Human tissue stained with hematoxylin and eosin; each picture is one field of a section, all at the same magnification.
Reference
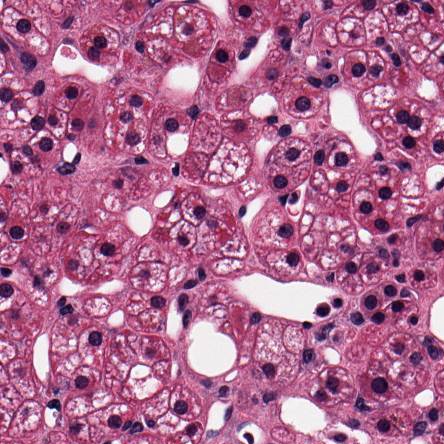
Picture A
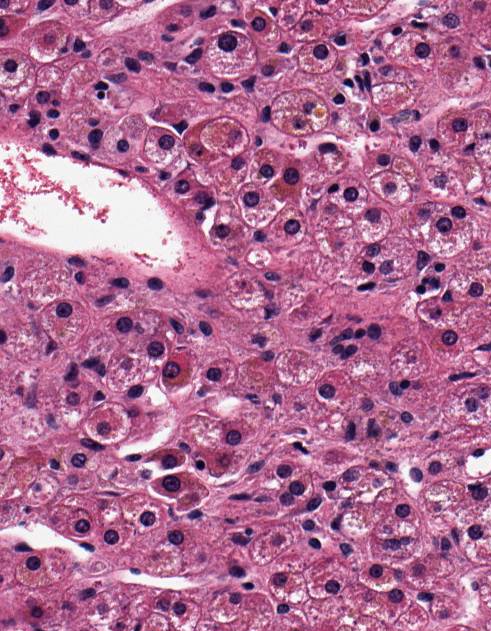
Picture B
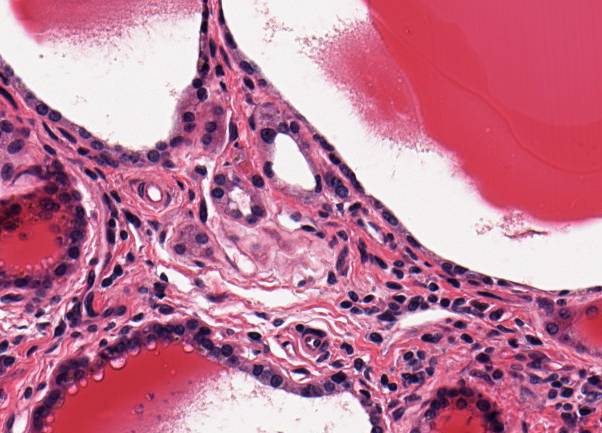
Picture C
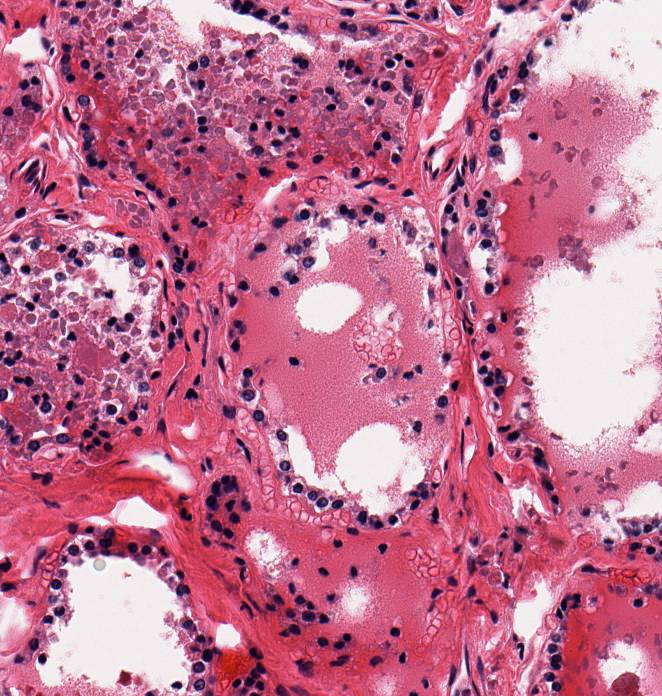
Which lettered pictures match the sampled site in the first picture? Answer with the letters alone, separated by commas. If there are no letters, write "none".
A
